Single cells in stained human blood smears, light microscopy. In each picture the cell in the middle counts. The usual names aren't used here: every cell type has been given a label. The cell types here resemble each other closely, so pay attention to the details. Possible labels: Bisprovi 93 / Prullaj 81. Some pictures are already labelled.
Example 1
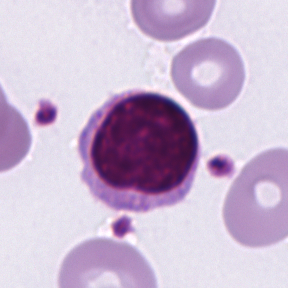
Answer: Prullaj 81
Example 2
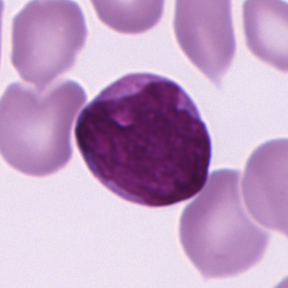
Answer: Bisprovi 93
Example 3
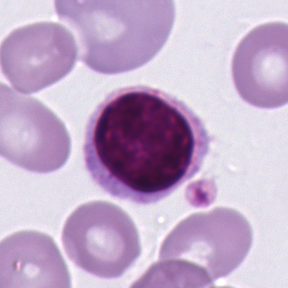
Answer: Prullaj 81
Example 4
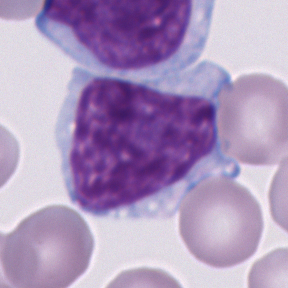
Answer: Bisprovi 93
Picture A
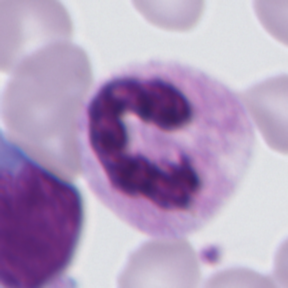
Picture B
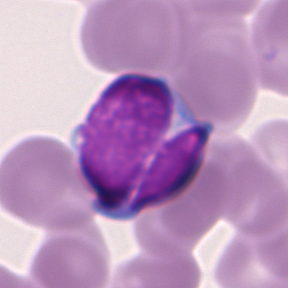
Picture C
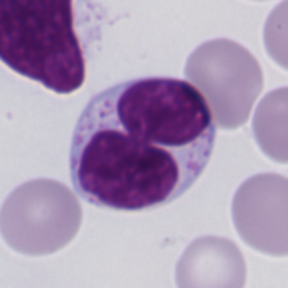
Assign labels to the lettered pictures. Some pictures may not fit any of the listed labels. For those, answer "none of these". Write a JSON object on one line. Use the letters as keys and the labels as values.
{"A": "none of these", "B": "Prullaj 81", "C": "Prullaj 81"}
